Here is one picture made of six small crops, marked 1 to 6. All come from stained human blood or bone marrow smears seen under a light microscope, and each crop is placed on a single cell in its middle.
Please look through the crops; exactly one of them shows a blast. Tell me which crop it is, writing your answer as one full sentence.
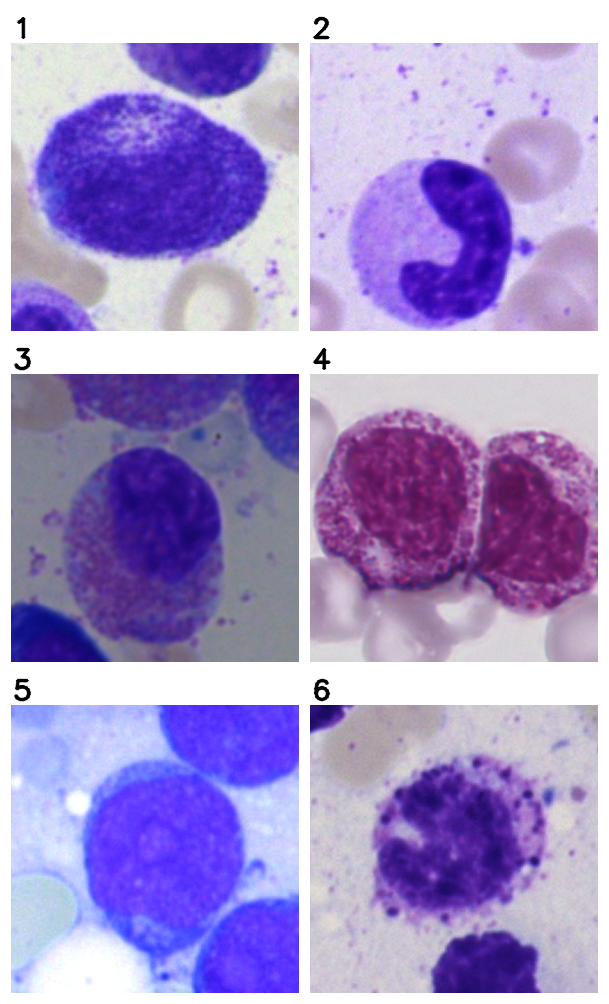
Here the crop that shows a blast is crop 5.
